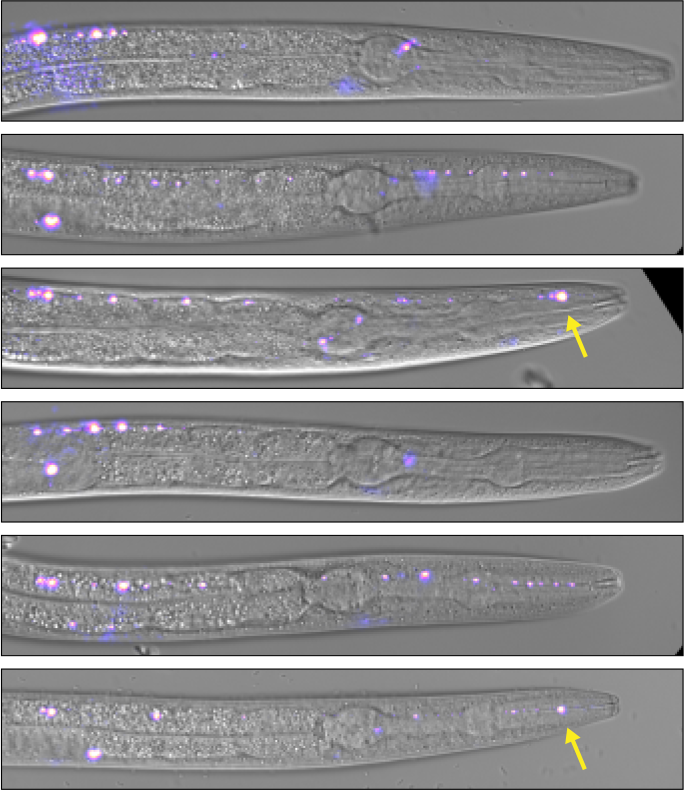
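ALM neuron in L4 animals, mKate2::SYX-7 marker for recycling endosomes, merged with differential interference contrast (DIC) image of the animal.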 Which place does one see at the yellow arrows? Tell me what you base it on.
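The yellow arrows point to bright magenta puncta near the tapered anterior end of the animal. The puncta lie at the far end of a row of smaller magenta dots running toward the nose. So: neurite tip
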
